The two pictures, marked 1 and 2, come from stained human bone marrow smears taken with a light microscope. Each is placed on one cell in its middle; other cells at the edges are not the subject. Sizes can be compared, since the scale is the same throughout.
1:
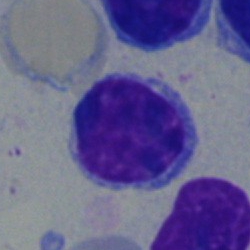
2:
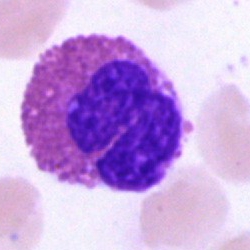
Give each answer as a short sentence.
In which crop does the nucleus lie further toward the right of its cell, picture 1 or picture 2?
Seen within its cell, the nucleus in picture 2 lies further toward the right.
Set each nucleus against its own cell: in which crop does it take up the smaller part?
Of the two, the nucleus in picture 2 leaves more room for cytoplasm.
